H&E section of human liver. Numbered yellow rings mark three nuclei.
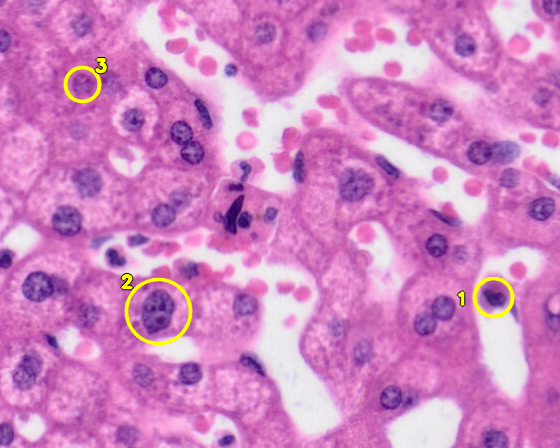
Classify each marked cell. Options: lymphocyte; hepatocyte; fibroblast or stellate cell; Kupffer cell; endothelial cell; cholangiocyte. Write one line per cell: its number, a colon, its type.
1: Kupffer cell
2: hepatocyte
3: hepatocyte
